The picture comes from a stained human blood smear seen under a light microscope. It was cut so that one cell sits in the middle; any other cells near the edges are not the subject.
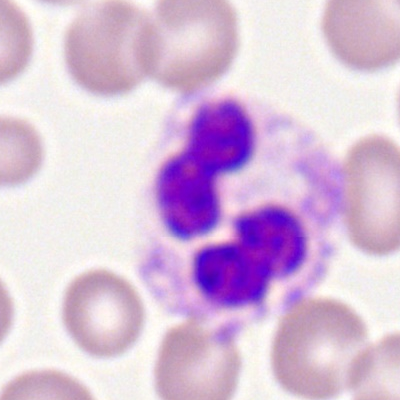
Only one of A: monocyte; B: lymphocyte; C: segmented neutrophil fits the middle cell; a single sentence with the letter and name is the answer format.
Option C is correct, naming the cell in the middle as a segmented neutrophil.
